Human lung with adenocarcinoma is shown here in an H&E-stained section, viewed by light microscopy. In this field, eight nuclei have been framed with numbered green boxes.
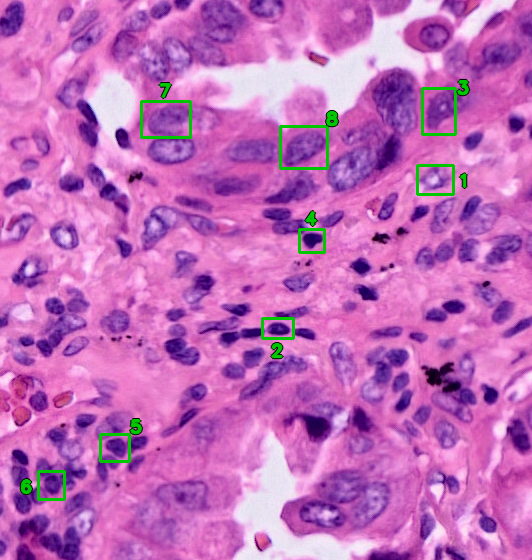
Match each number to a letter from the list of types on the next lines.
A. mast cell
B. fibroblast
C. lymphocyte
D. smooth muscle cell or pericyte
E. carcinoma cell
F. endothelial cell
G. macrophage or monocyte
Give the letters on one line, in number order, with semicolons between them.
B; C; E; C; C; C; E; E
